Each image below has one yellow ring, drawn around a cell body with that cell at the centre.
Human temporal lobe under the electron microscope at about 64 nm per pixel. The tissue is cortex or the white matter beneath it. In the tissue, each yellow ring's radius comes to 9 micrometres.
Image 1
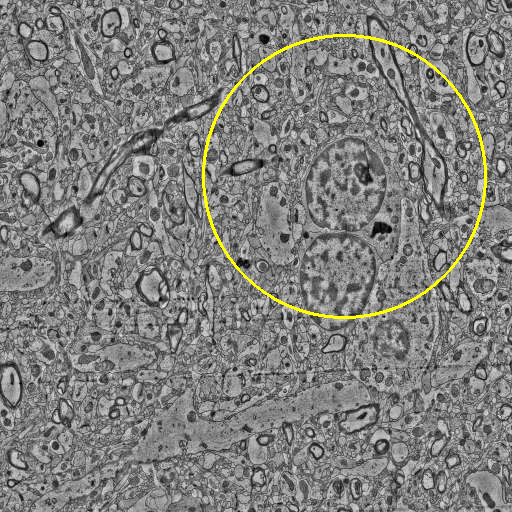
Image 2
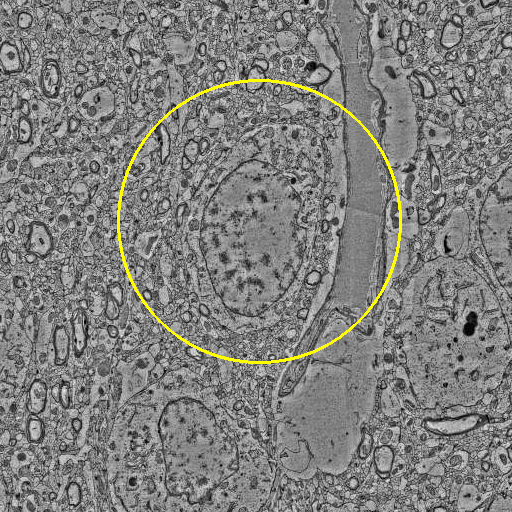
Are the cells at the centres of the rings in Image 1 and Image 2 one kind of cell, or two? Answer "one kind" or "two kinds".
two kinds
